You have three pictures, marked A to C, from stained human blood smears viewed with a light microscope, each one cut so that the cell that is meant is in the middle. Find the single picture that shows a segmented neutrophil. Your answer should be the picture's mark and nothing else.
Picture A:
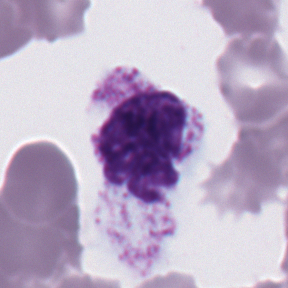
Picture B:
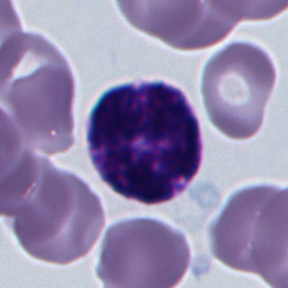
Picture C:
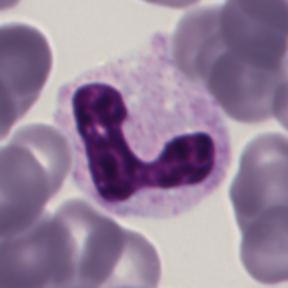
C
